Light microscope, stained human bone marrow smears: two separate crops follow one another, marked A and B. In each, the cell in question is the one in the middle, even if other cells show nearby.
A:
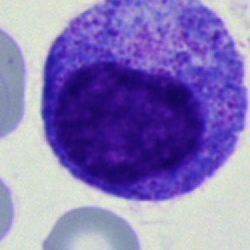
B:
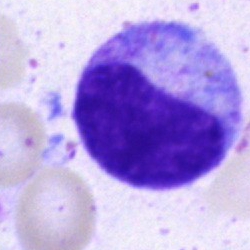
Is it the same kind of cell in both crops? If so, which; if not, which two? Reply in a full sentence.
Yes, what both crops show at their centres are promyelocytes.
